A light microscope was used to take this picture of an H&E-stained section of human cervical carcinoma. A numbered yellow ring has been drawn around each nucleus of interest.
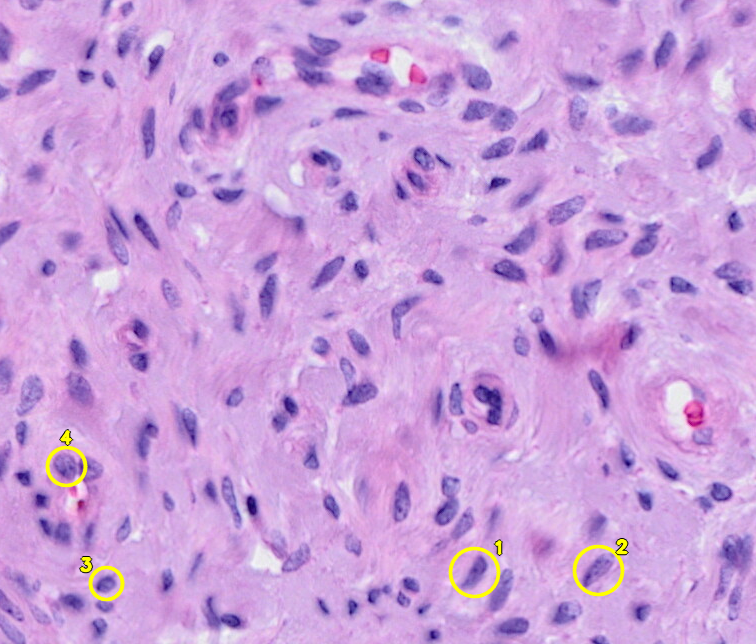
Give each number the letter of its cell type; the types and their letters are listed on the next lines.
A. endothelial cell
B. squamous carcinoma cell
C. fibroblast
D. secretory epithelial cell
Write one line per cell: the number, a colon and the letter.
1: C
2: C
3: C
4: A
